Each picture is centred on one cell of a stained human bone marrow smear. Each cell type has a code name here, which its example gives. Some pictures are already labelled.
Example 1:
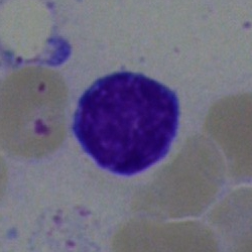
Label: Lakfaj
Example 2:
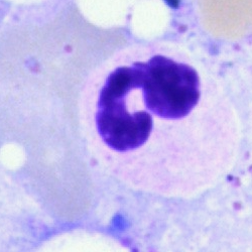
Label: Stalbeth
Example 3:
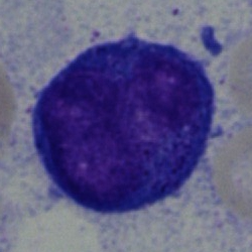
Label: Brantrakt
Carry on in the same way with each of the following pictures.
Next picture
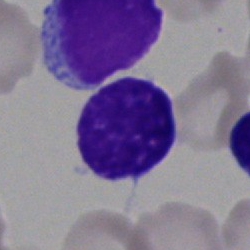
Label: Lakfaj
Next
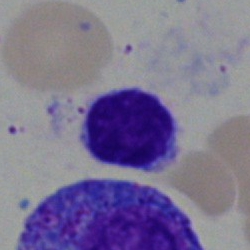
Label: Lakfaj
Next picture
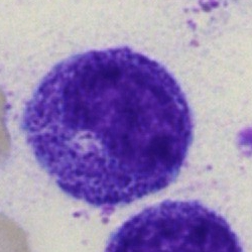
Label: Brantrakt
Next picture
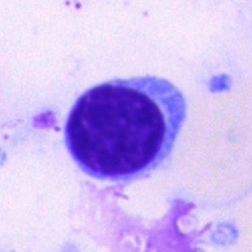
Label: Lakfaj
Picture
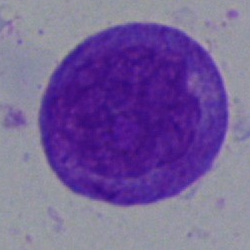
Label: Brantrakt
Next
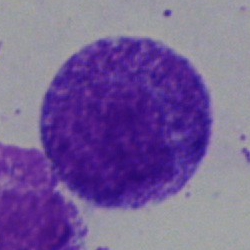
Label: Brantrakt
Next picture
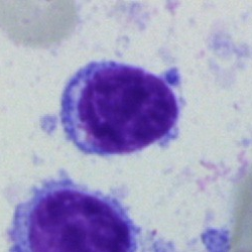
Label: Lakfaj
